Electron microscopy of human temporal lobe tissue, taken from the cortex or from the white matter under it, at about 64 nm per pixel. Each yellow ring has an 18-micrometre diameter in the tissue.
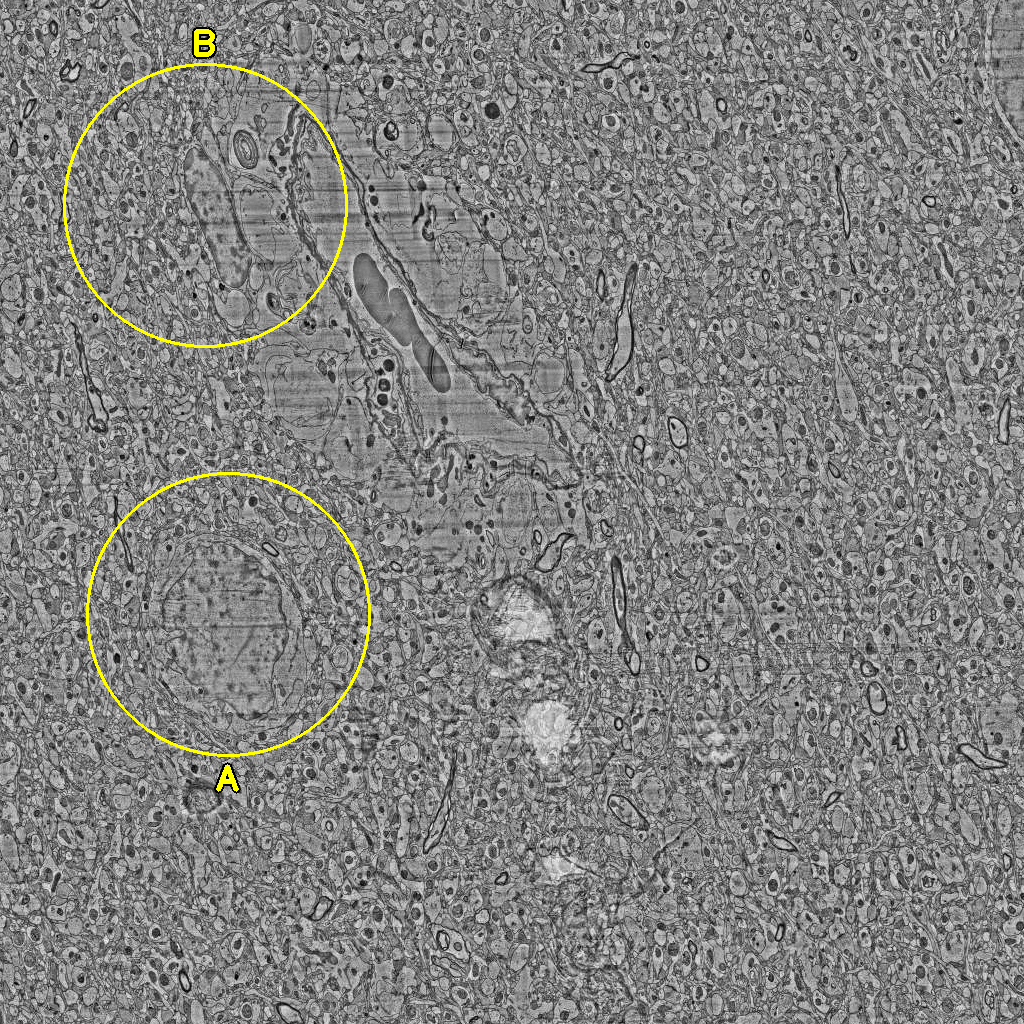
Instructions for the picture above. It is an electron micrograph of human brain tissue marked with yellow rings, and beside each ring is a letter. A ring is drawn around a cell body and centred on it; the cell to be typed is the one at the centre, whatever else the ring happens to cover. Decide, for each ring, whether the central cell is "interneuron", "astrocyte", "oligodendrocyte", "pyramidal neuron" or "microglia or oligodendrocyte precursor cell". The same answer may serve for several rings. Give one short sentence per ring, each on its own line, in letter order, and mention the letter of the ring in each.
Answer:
Ring A is drawn around an interneuron.
Ring B is drawn around a microglial cell or oligodendrocyte precursor cell.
